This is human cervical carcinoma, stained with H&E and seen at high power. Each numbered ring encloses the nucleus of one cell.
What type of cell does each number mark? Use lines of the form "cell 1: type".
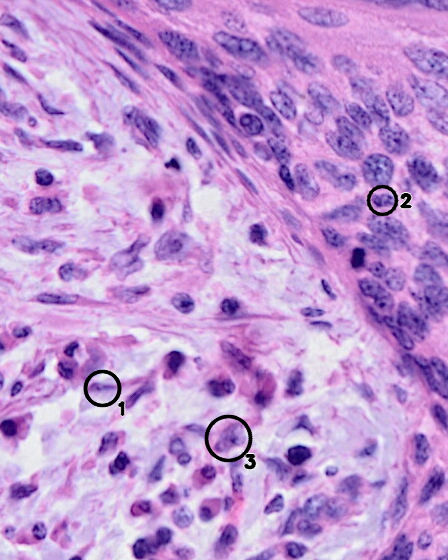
cell 1: fibroblast
cell 2: squamous carcinoma cell
cell 3: macrophage or monocyte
